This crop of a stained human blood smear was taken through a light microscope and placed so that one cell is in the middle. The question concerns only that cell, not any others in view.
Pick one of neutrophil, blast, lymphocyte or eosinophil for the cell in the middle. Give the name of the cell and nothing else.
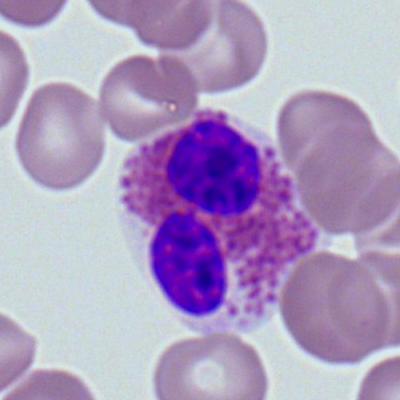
eosinophil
